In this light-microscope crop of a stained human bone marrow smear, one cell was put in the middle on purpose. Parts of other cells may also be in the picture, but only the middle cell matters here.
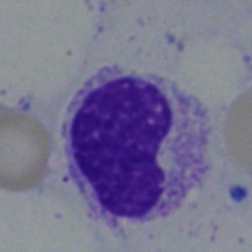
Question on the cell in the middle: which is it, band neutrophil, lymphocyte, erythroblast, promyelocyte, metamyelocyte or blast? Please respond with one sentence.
In this smear crop, the middle cell is a metamyelocyte.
